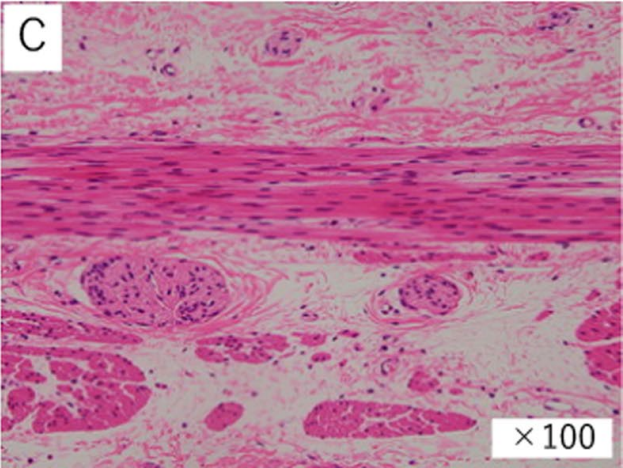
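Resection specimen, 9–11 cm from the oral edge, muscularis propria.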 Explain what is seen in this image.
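Bowel wall where no ganglion cells are seen. Loose, pale, wavy connective tissue holds several small rounded nerve bundles, each with closely set wavy nuclei inside a thin sheath. A band of pink smooth muscle with elongated nuclei crosses the middle of the field. Toward the bottom, pink muscle bundles are cut across, separated by pale loose tissue. No large cells with abundant cytoplasm and round nuclei are found among the nerve bundles or between the muscle layers.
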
